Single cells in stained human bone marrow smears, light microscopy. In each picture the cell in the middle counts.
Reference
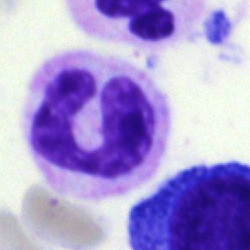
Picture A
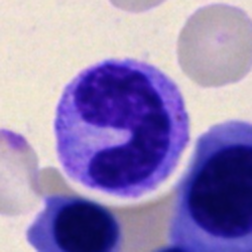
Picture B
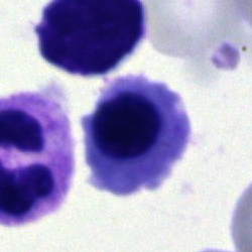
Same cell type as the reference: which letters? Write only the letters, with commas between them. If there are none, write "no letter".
A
